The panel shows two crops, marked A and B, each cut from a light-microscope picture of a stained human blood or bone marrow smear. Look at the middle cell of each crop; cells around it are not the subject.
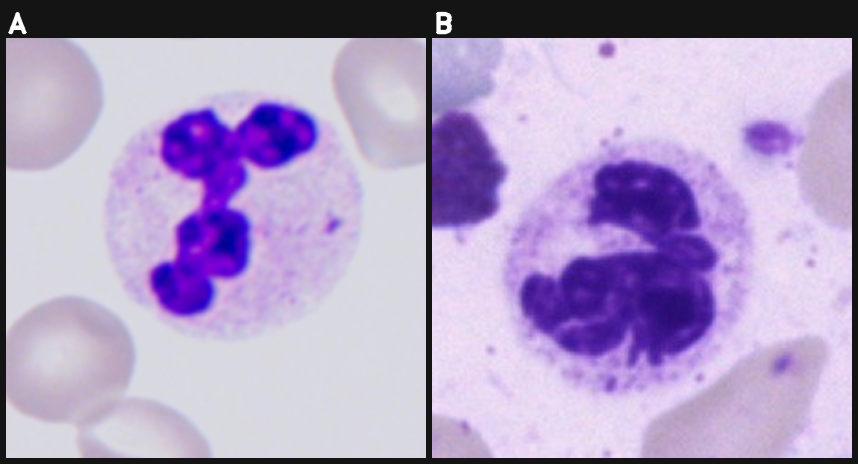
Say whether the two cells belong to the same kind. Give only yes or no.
yes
